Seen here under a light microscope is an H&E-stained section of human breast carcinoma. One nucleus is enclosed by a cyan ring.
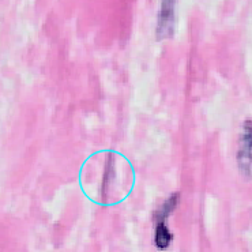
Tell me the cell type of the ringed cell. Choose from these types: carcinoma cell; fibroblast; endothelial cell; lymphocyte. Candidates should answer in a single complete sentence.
Assigned to a cell type, the ringed cell is a fibroblast.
